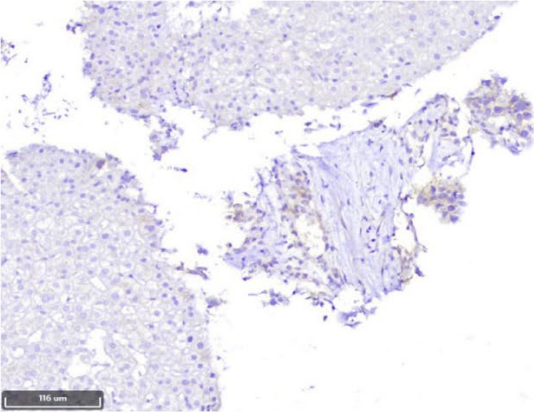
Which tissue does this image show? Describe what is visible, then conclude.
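Liver. Sheets of polygonal cells with round central nuclei and abundant pale cytoplasm. The polygonal cells form plates separated by narrow spaces.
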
